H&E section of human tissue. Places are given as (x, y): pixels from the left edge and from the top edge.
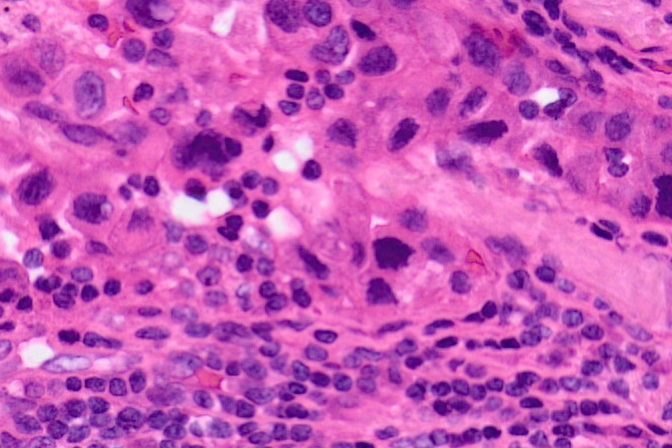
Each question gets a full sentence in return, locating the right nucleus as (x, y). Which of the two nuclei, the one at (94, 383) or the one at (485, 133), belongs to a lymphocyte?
The one belonging to a lymphocyte is the nucleus at (94, 383), not the other.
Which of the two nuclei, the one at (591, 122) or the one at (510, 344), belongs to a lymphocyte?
Of the two nuclei, that at (510, 344) is the nucleus of a lymphocyte.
